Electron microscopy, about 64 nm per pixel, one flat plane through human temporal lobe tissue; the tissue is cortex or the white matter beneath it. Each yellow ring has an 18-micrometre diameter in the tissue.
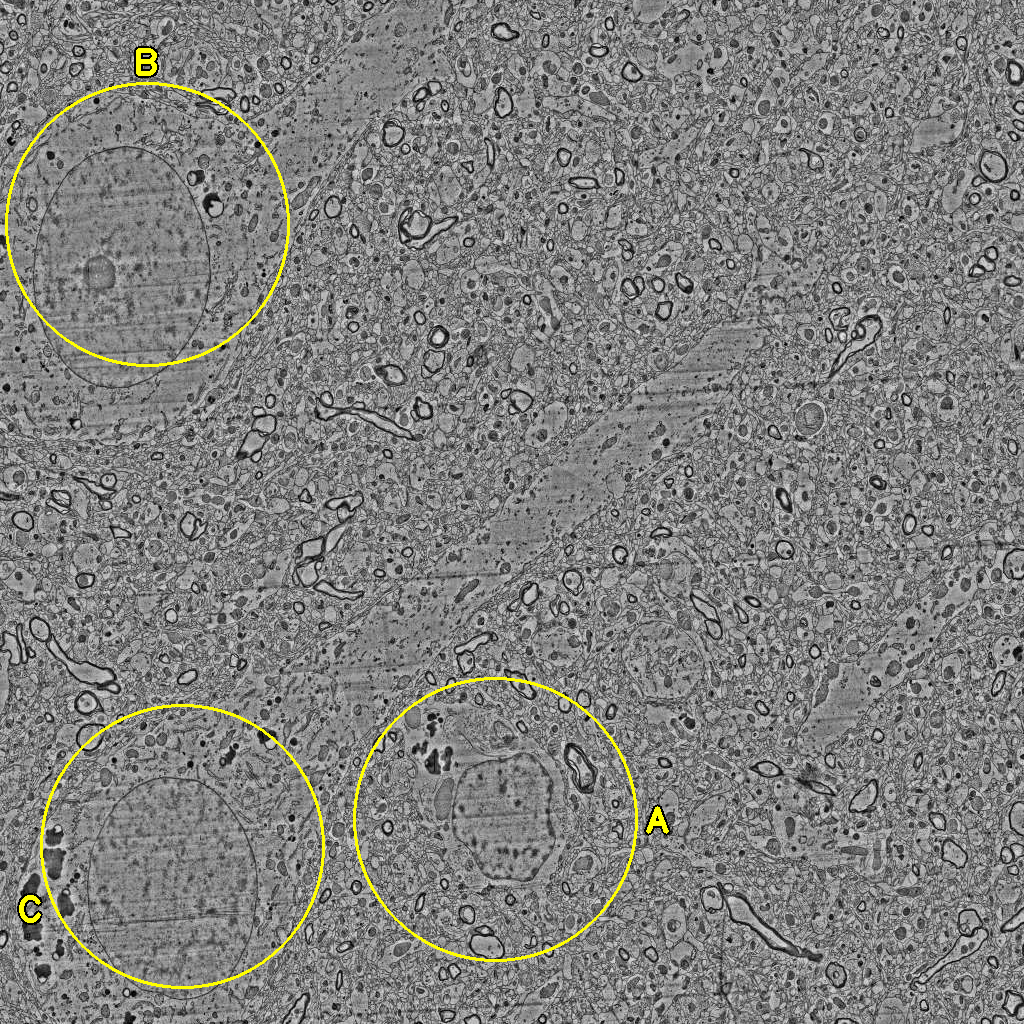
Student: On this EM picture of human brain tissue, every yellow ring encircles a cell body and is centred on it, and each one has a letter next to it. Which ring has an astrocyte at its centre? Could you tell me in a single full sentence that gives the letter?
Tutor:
Ring A is the one drawn around the cell you are asking about.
